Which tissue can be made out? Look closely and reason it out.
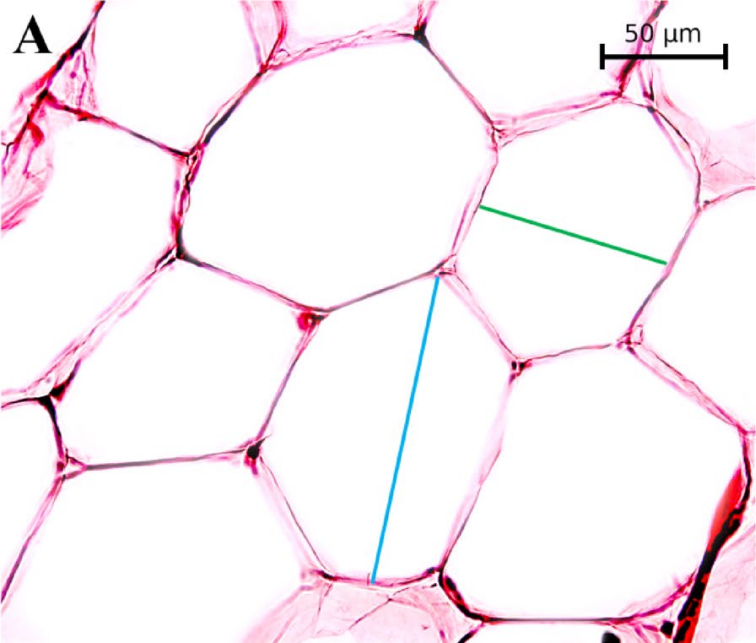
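Adipose tissue. Large polygonal empty-looking cells packed tightly together. Only thin pink membranes separate neighbouring cells. Little or no cytoplasm is visible inside the cells.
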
